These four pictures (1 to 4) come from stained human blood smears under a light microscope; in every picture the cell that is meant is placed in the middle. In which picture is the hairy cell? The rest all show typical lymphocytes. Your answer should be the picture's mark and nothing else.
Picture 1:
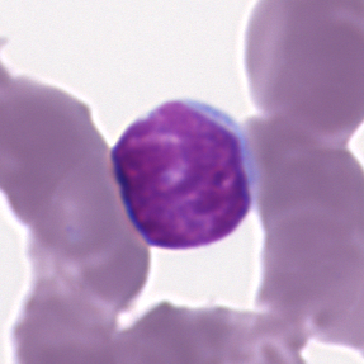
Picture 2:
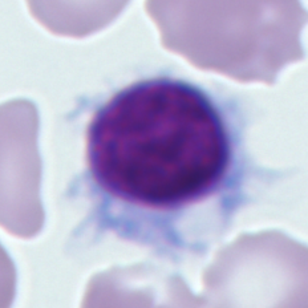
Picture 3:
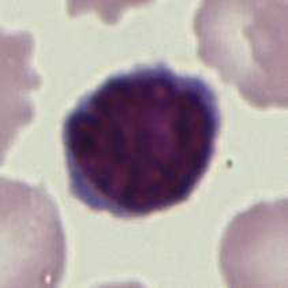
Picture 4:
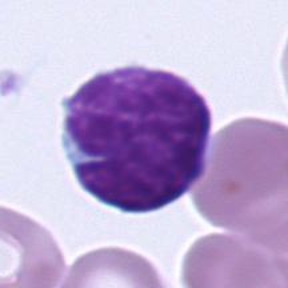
2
